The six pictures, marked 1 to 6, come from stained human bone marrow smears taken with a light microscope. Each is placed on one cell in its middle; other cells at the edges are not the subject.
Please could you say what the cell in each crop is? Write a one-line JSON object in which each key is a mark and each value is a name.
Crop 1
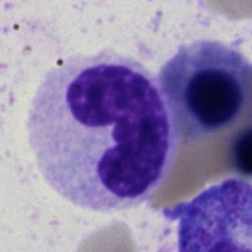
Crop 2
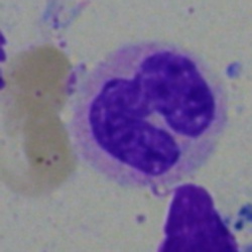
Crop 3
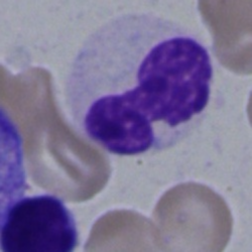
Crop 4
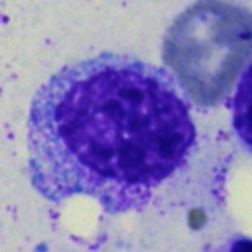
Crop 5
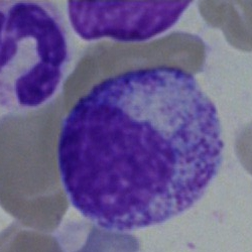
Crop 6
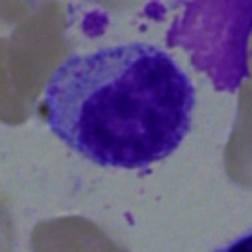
{"1": "band neutrophil", "2": "band neutrophil", "3": "band neutrophil", "4": "myelocyte", "5": "myelocyte", "6": "myelocyte"}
